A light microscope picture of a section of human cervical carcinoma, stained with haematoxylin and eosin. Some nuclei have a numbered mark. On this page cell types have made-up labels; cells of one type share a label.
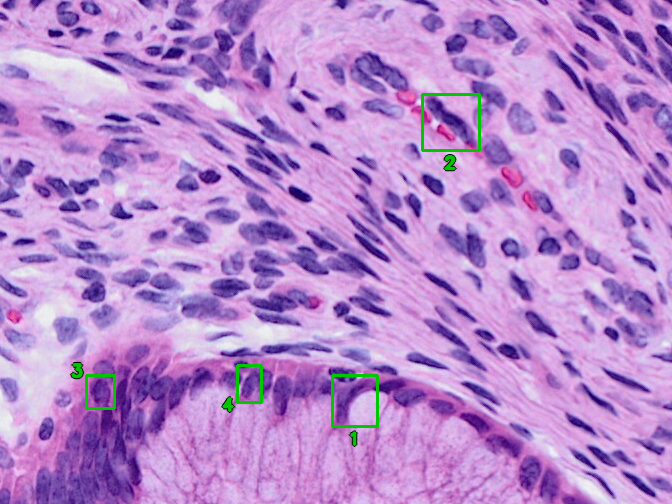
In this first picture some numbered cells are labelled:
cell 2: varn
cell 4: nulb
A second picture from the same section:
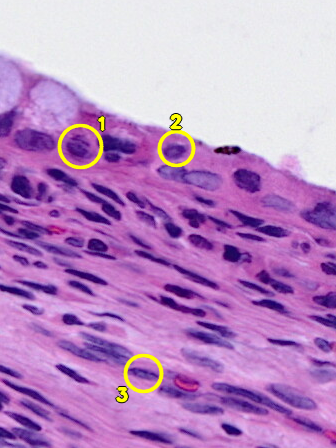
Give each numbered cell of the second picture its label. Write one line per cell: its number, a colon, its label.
1: nulb
2: nulb
3: varn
